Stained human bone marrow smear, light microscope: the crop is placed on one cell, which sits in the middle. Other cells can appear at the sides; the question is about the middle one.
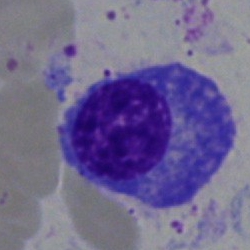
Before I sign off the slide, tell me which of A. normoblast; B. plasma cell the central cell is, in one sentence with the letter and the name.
The cell centred in the crop is a plasma cell, and the correct option is thus B.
